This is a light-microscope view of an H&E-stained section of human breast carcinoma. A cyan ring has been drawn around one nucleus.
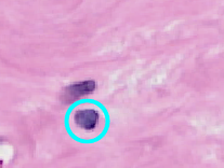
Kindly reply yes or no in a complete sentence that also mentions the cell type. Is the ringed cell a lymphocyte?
Yes, it is as a lymphocyte that the ringed cell is classified.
